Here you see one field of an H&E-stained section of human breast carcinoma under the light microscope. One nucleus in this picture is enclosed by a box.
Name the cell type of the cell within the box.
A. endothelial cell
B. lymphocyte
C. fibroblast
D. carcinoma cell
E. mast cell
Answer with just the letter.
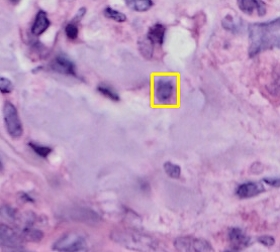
E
